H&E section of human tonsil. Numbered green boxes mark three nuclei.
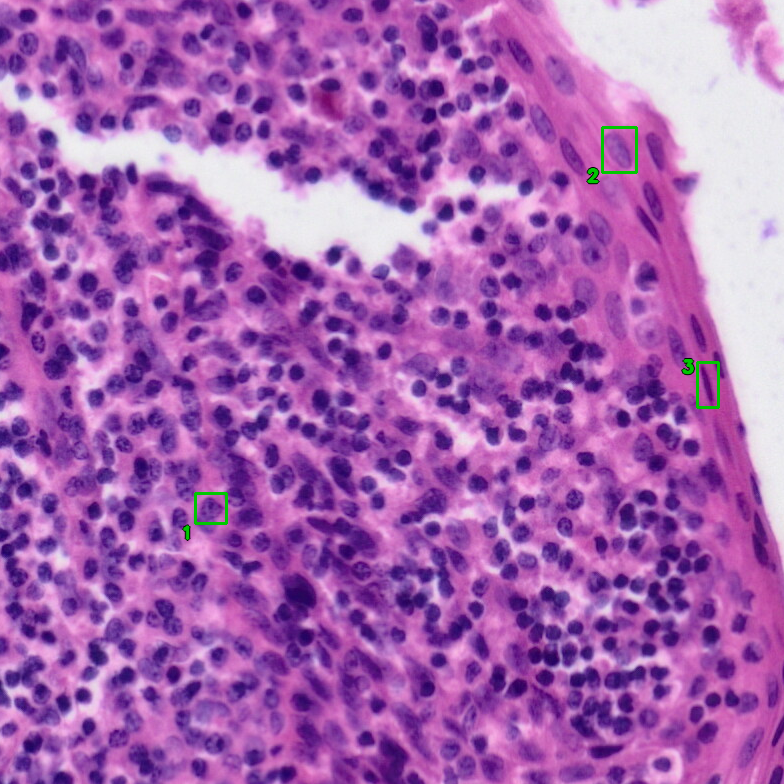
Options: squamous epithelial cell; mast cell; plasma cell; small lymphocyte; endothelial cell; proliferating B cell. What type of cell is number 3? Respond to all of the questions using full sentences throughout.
The cell identified by number 3 is a squamous epithelial cell.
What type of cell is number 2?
It is as a squamous epithelial cell that the cell numbered 2 is identified.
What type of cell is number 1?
The cell assigned the number 1 is a plasma cell.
